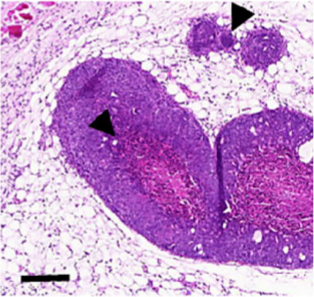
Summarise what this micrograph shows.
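Two large adjoining intraductal epithelial nests lie within fatty tissue, each with a thick rim of densely packed purple-staining cells. Their centres are paler and pink, marking central necrotic areas of comedo-type necrosis. Small round nests of epithelial cells lie separately in the fat at upper right, and red blood cells are seen at the top left edge.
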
